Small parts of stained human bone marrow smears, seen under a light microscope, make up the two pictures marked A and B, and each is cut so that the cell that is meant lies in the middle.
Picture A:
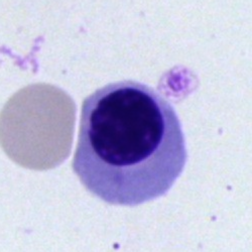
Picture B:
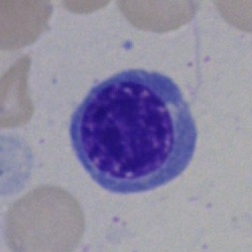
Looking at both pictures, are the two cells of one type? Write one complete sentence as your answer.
Yes, both cells are erythroblasts.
